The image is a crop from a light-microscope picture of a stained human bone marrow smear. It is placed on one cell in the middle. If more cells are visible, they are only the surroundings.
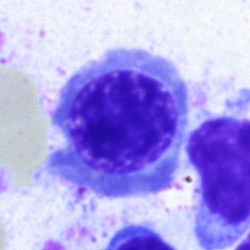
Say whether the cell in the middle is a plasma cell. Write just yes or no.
no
